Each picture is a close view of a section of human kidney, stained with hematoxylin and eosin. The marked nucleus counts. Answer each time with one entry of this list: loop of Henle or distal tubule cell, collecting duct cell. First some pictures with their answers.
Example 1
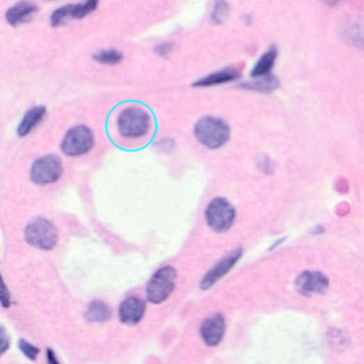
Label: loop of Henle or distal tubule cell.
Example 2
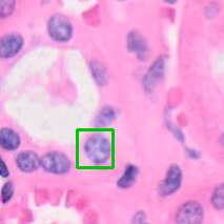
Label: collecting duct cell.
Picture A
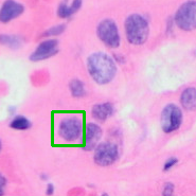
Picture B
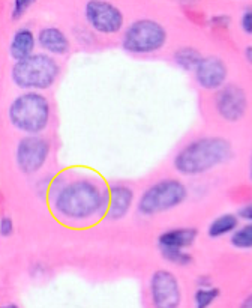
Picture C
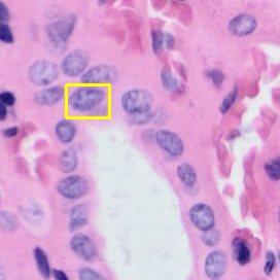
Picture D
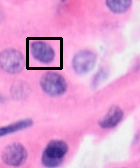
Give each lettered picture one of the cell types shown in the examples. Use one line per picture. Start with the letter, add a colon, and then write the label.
A: collecting duct cell.
B: collecting duct cell.
C: collecting duct cell.
D: loop of Henle or distal tubule cell.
